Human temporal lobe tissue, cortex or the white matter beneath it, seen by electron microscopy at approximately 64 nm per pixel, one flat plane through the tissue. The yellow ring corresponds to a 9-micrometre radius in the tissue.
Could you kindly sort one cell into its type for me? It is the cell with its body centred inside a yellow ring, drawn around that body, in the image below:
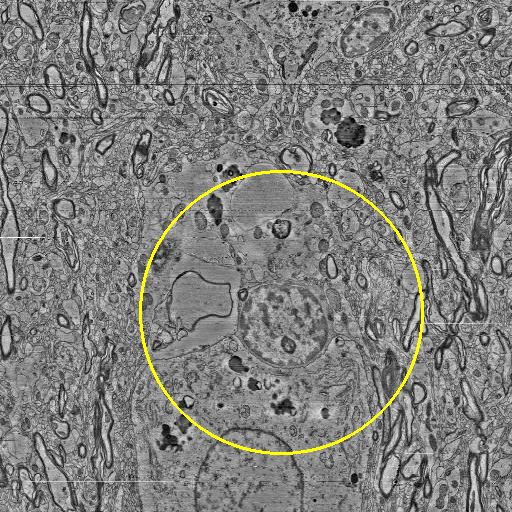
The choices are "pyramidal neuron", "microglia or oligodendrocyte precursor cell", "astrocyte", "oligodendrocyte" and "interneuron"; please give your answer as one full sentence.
The cell whose body lies centred in the yellow ring here is an oligodendrocyte.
